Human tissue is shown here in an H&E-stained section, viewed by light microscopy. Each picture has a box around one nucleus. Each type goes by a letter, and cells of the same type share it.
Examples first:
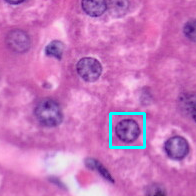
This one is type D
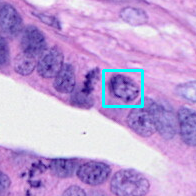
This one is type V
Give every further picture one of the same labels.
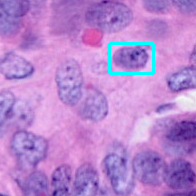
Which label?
type V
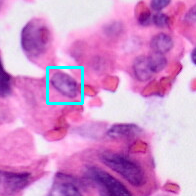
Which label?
type V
